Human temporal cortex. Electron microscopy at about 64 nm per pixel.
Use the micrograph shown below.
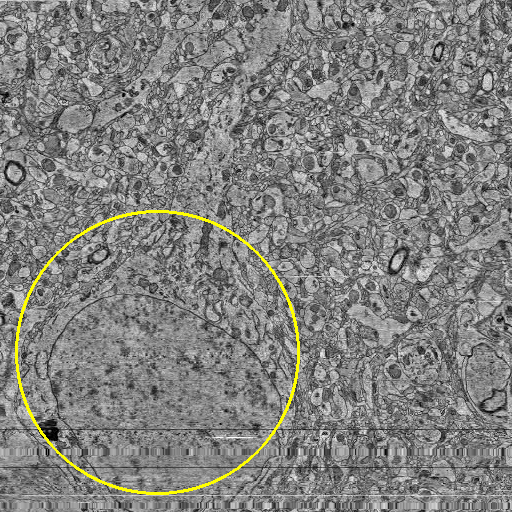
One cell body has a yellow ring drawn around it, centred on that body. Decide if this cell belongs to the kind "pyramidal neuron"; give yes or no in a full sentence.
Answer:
Yes, the cell lying at the ring's centre in the micrograph is of the kind given.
